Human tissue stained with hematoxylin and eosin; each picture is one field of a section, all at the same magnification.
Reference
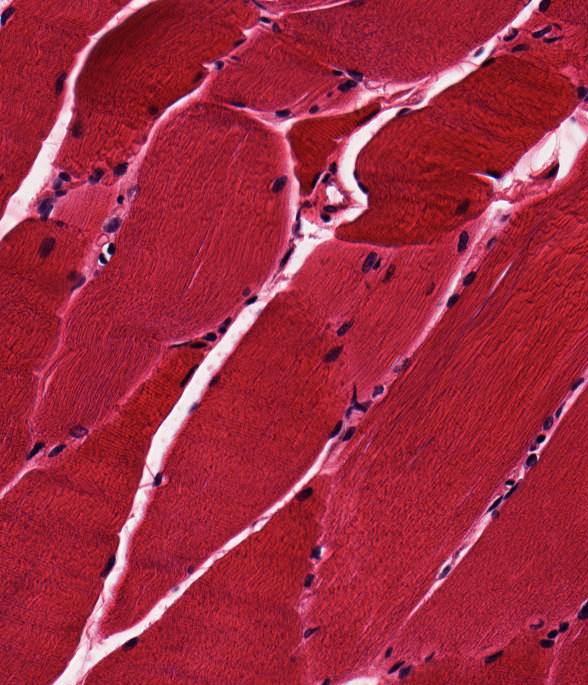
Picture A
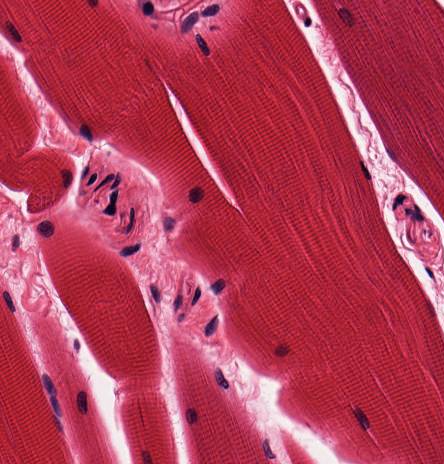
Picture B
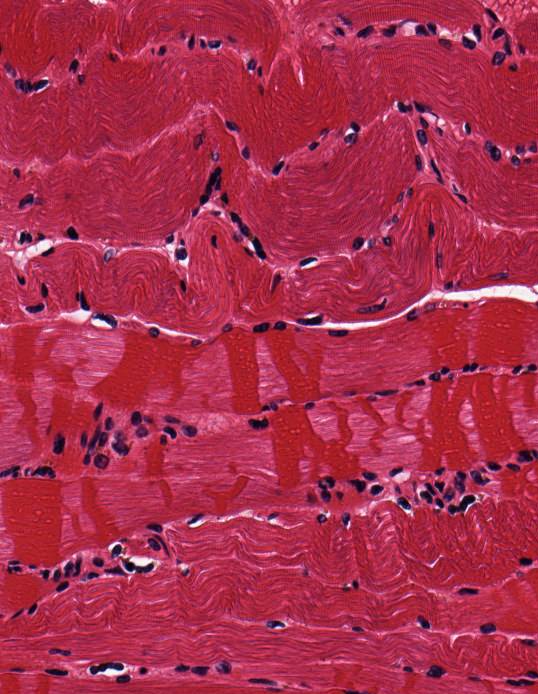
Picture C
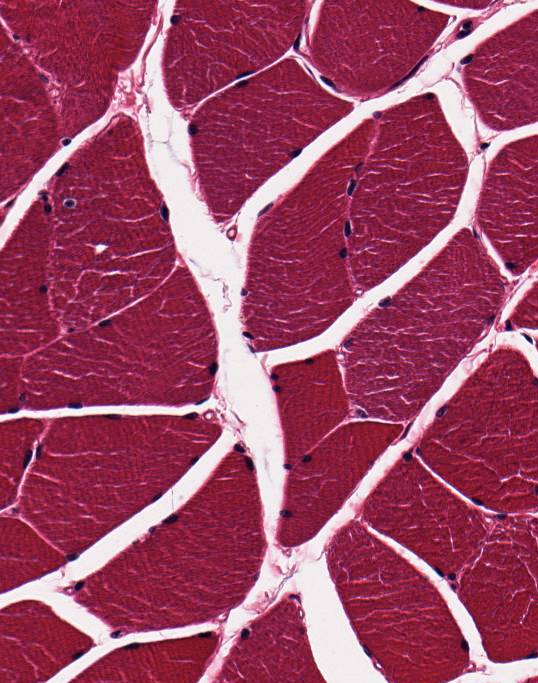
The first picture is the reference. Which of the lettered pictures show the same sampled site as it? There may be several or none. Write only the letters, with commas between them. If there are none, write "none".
A, B, C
